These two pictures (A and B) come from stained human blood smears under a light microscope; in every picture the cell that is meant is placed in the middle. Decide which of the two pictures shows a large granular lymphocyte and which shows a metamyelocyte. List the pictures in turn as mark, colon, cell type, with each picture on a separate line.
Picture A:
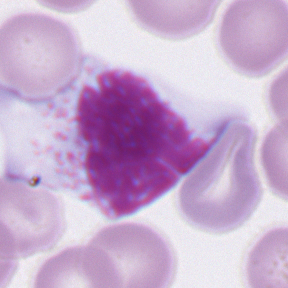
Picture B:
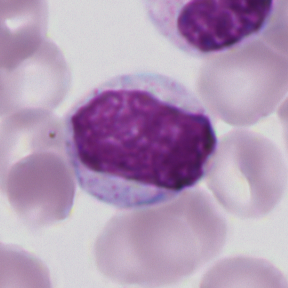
A: large granular lymphocyte
B: metamyelocyte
